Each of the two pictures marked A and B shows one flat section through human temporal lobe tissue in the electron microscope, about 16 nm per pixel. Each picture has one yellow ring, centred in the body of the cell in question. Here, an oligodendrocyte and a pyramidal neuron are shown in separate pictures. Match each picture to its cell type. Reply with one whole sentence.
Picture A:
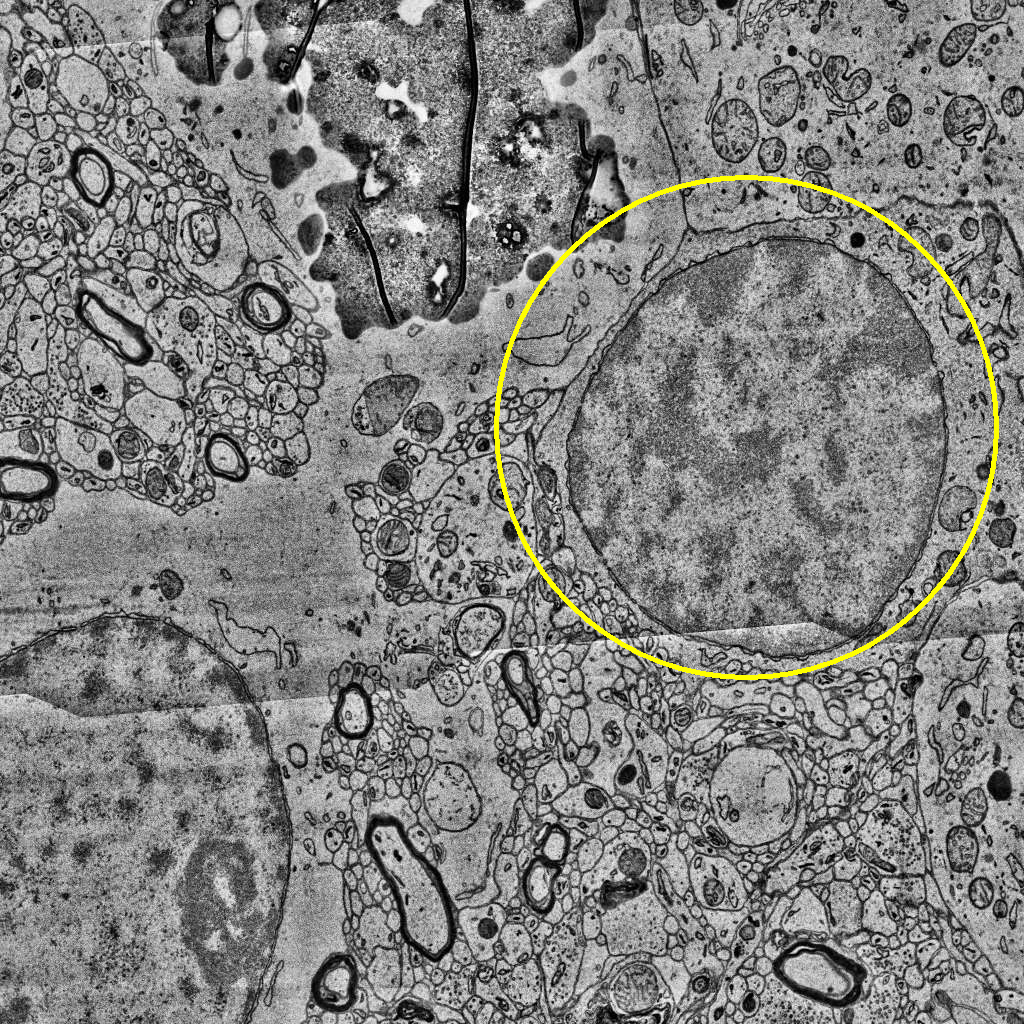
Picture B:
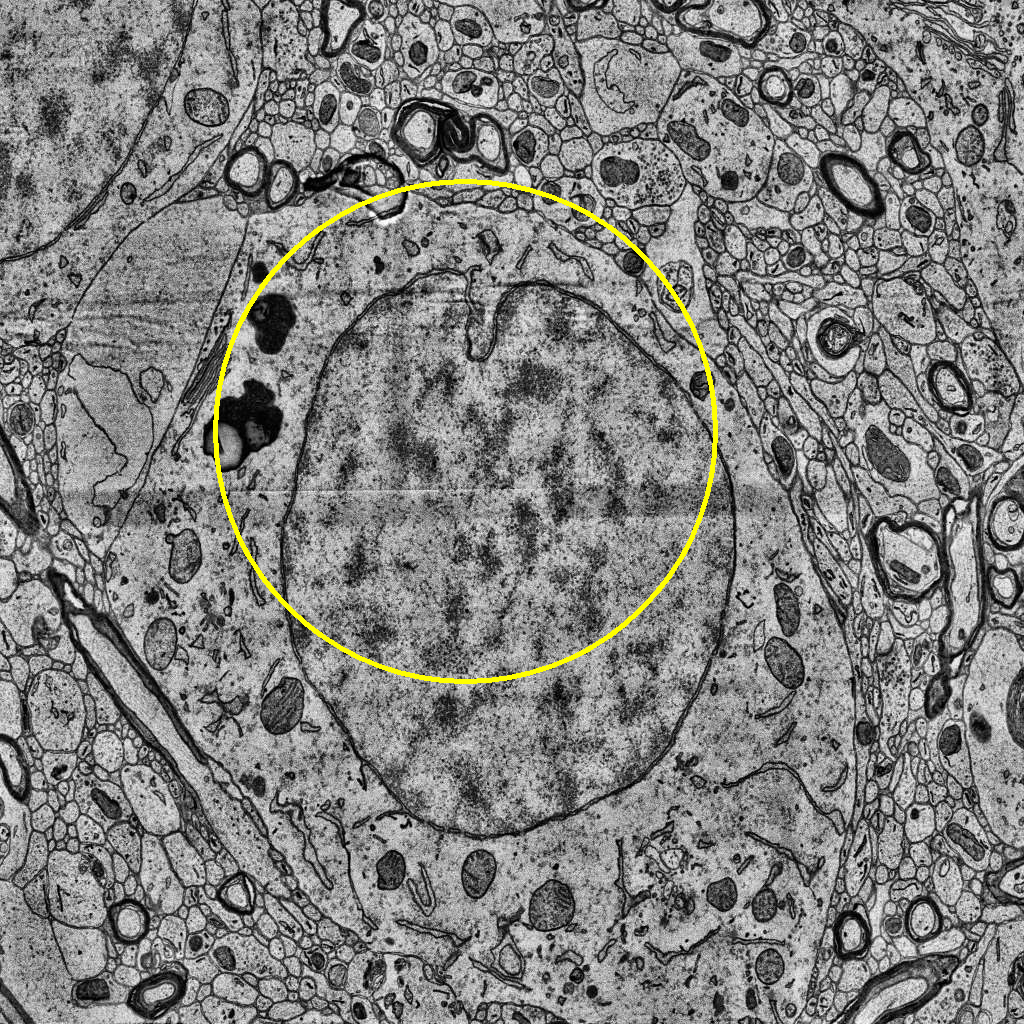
Picture A is of an oligodendrocyte, and picture B is of a pyramidal neuron.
